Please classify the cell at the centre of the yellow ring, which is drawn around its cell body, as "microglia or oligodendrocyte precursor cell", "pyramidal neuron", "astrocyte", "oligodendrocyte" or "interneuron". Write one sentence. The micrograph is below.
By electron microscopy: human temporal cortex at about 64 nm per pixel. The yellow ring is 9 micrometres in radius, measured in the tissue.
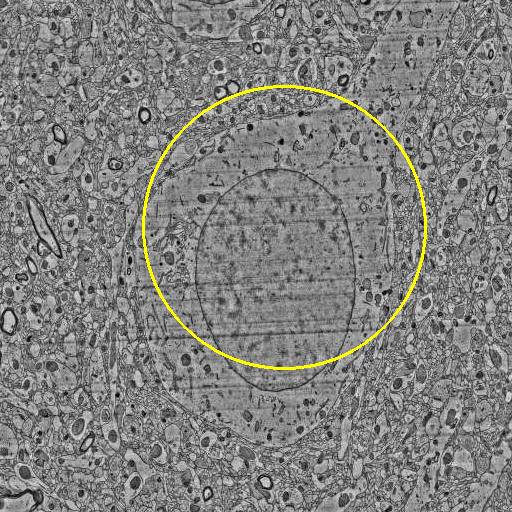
The cell at the ring's centre is classified as a pyramidal neuron.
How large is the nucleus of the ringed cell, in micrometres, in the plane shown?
The nucleus has a long axis of about 14 micrometres and a short axis of about 10 micrometres in this plane.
